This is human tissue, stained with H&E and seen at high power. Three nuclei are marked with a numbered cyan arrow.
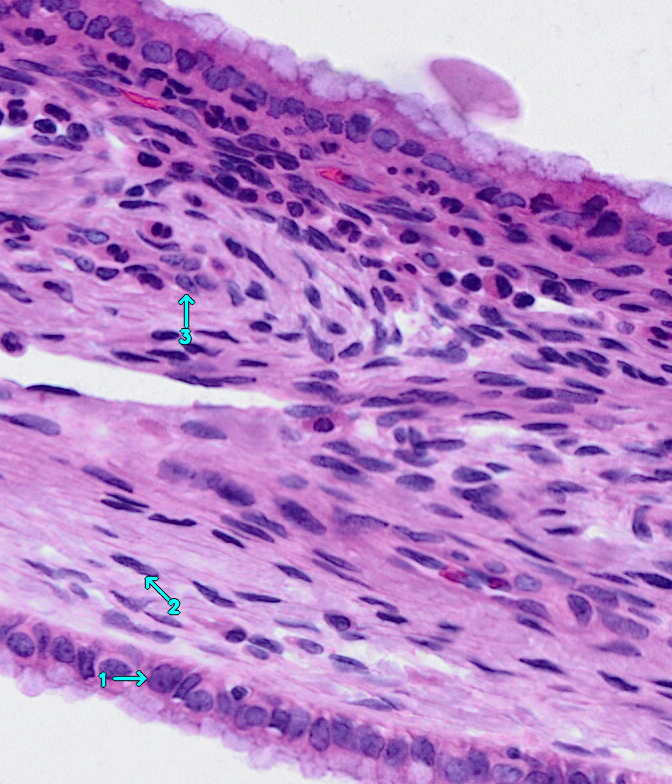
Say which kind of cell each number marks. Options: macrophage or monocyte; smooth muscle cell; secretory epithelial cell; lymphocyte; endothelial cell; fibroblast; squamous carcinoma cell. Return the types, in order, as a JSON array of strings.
["secretory epithelial cell", "fibroblast", "endothelial cell"]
